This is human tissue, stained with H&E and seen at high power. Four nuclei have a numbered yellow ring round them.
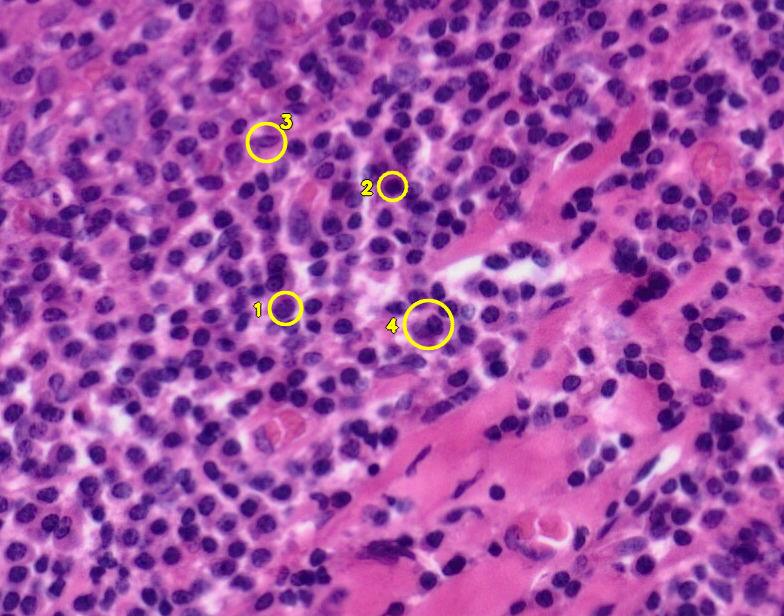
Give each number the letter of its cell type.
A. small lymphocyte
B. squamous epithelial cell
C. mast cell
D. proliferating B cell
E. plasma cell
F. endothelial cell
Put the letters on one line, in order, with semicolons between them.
E; E; B; E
